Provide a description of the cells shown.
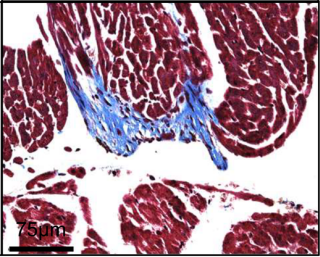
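This is myocardium in which bundles of cardiomyocytes stain deep red. Between the bundles runs a wedge of blue collagenous fibers, wavy and streaming into the gaps between the muscle. Empty white spaces separate some of the bundles.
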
